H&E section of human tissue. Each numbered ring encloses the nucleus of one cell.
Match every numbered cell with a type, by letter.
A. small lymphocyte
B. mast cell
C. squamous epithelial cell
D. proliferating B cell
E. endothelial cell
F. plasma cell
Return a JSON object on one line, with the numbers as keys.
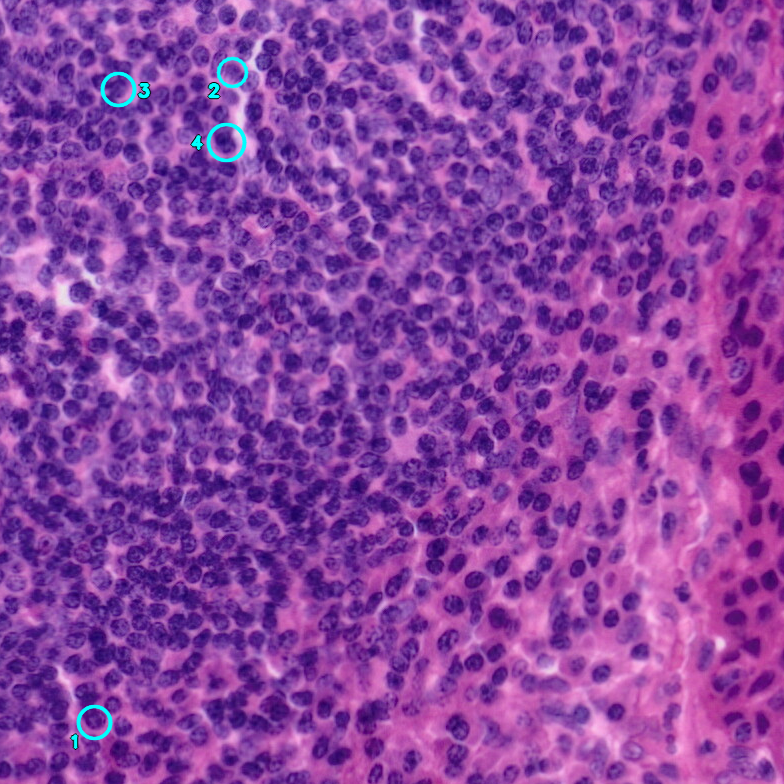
{"1": "F", "2": "A", "3": "A", "4": "A"}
